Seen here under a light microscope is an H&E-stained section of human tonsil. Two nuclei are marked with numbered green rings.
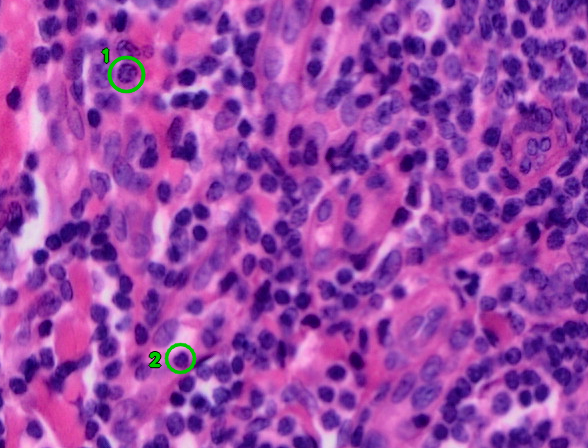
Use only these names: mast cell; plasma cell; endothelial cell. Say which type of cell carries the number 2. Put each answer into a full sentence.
The nucleus with number 2 is that of an endothelial cell.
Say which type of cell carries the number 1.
The cell numbered 1 represents a plasma cell.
